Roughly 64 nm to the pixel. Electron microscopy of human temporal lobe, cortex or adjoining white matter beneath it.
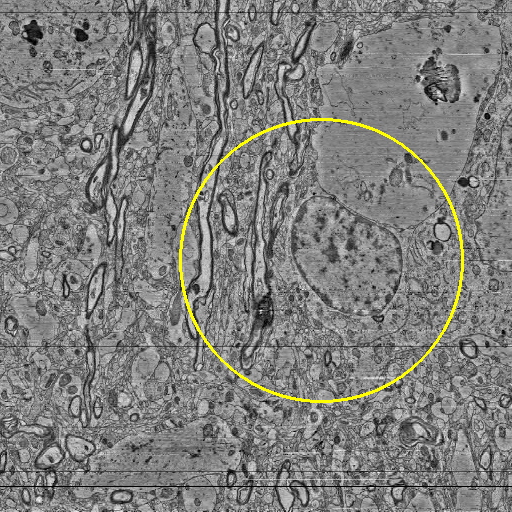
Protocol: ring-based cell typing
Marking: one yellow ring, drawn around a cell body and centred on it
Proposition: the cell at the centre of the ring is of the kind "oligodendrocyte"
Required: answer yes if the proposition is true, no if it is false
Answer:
no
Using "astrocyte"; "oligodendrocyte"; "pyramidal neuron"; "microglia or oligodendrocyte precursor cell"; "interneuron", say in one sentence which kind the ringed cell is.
Here, the ring is centred on a microglial cell or oligodendrocyte precursor cell instead.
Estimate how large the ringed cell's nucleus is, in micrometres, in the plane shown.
In this plane the nucleus spans approximately 9 by 6 micrometers.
